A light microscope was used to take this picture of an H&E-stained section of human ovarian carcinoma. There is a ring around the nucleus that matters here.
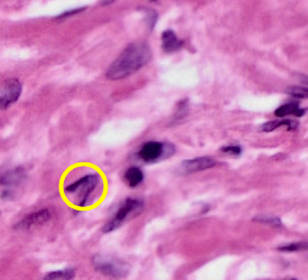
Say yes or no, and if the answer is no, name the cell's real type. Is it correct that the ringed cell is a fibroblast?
Yes.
